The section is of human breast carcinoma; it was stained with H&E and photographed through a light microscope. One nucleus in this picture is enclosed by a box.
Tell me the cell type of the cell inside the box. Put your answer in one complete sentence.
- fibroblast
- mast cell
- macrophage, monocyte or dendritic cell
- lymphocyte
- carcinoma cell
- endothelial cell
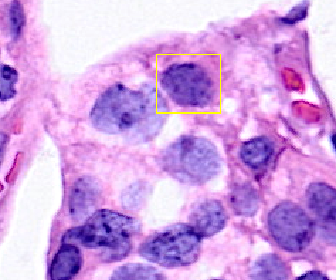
The correct response here is that the cell inside the box is a carcinoma cell.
